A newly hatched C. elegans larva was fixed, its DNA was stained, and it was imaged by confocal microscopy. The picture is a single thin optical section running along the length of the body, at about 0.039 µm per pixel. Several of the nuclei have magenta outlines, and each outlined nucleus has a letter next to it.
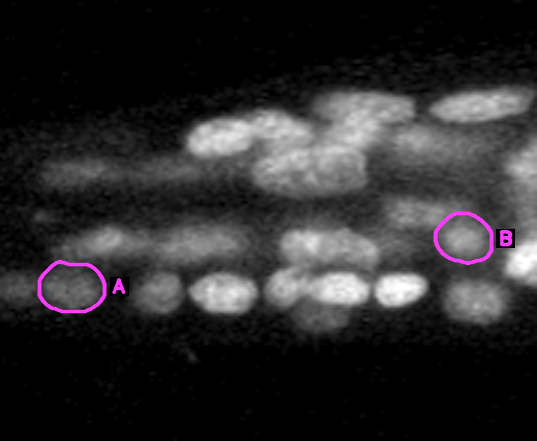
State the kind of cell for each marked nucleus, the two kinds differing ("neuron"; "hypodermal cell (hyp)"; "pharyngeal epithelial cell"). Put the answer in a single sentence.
A is from a hypodermal cell (hyp), and B is from a neuron.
